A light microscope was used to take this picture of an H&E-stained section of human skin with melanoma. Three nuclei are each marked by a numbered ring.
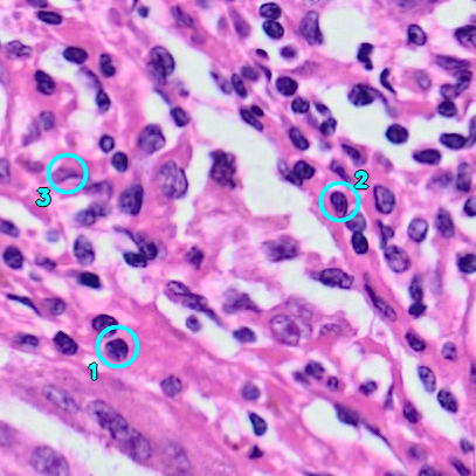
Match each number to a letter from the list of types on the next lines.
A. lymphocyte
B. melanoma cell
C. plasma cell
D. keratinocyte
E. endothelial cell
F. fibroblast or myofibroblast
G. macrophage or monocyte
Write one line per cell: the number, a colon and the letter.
1: A
2: A
3: F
